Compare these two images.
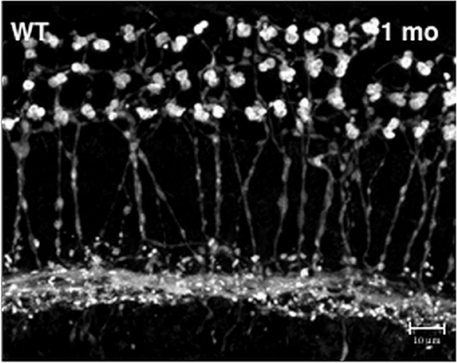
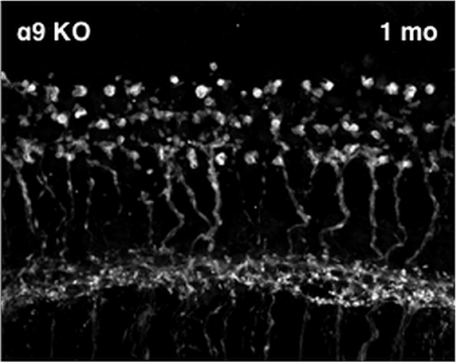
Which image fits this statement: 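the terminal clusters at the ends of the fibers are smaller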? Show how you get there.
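The second image. Second image: the labeled clusters in the upper rows are small and irregular. First image: the labeled clusters in the upper rows are large, bright and rounded.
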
